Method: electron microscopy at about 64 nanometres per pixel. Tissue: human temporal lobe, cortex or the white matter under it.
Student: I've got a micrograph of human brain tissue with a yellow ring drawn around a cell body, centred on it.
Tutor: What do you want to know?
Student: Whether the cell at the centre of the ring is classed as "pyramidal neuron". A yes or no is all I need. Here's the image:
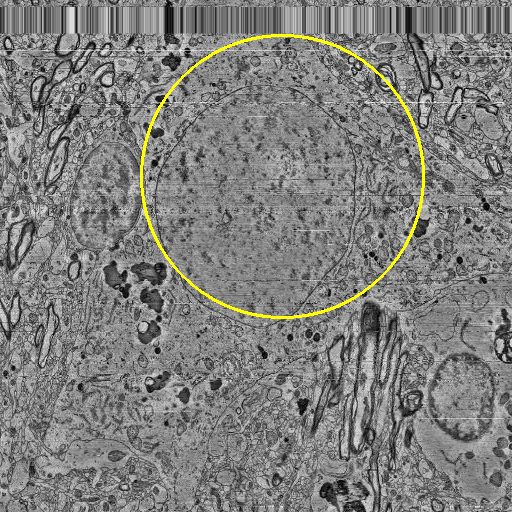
yes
